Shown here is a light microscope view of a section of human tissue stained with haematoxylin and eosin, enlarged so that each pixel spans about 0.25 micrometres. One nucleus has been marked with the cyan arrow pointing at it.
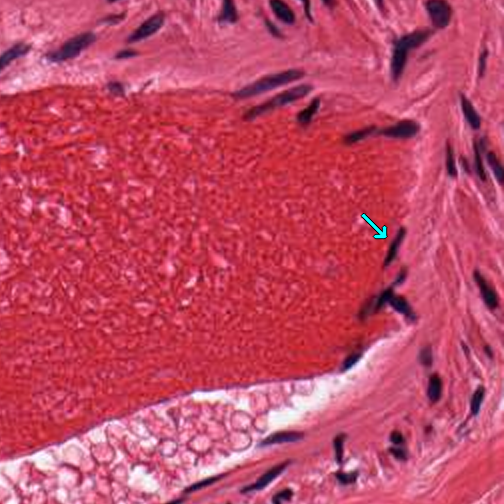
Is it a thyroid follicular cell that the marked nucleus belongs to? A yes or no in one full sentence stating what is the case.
No, the marked nucleus does not come from a thyroid follicular cell but from a supporting cell.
